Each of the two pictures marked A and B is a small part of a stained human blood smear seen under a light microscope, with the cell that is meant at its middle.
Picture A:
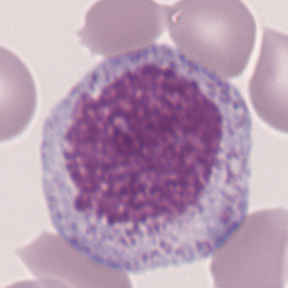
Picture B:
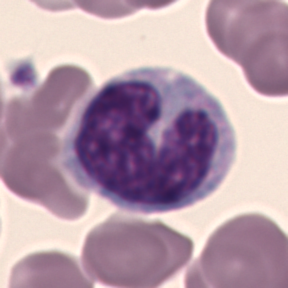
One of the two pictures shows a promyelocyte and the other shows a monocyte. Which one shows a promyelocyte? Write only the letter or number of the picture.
A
